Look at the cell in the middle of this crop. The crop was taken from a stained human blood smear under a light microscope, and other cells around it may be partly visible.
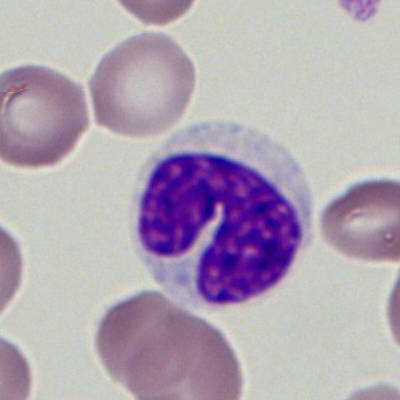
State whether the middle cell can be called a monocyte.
yes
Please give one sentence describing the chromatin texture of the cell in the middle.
The chromatin pattern here is coarse and clumped.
